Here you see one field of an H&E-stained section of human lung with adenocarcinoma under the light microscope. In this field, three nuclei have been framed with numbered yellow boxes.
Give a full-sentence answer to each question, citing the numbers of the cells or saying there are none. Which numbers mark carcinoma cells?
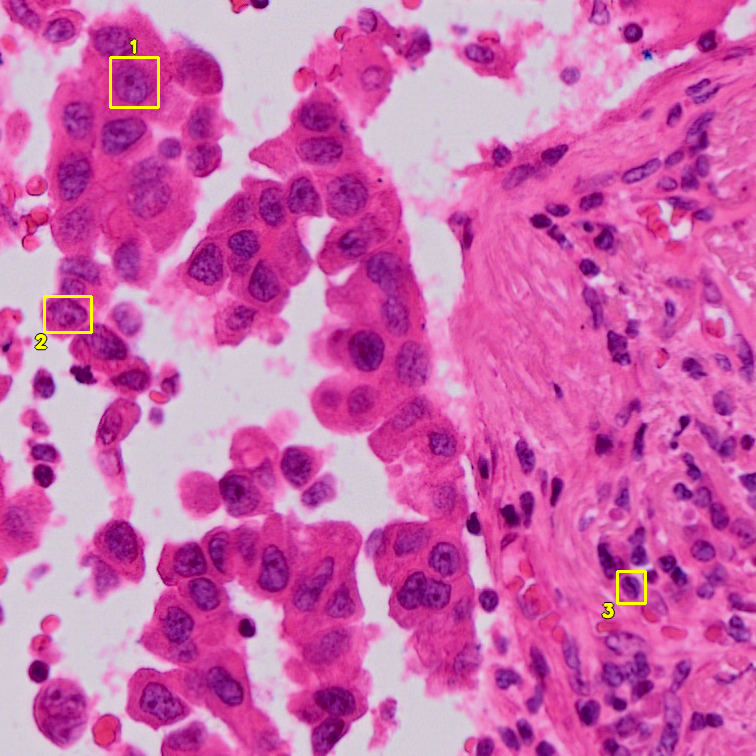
Here, the cells that carry numbers 1 and 2 are carcinoma cells.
